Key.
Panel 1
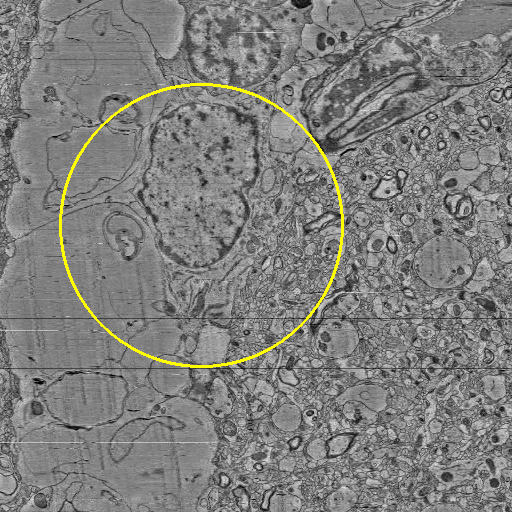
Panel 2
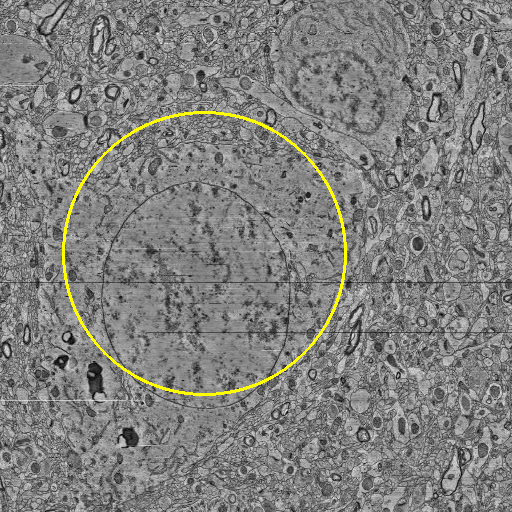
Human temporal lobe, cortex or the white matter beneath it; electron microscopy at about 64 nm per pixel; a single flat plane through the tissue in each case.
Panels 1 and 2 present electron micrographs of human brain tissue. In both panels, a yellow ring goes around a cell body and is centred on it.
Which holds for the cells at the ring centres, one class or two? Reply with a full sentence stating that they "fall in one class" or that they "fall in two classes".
Taken together, the ring-centre cells of the two panels fall in two classes.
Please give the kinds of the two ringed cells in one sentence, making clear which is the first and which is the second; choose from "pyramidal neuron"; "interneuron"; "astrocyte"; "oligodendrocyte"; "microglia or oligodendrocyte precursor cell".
In the second picture the ringed cell is a pyramidal neuron; in the first it is a microglial cell or oligodendrocyte precursor cell.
